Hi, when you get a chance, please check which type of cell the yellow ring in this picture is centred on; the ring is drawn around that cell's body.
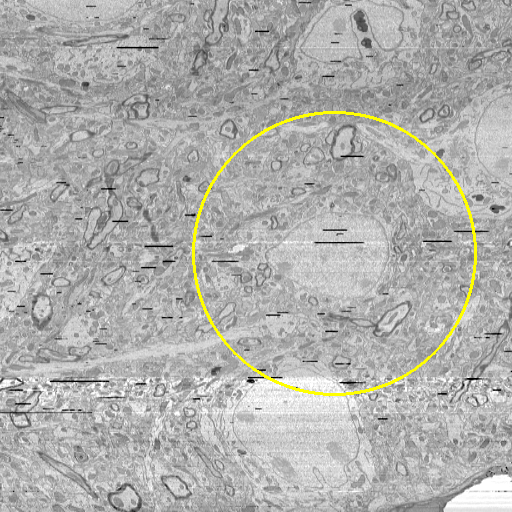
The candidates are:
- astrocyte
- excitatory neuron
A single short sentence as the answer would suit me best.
The ring is drawn around the body of an astrocyte.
